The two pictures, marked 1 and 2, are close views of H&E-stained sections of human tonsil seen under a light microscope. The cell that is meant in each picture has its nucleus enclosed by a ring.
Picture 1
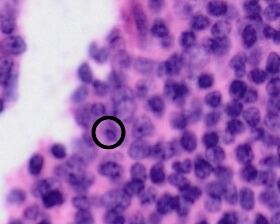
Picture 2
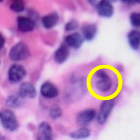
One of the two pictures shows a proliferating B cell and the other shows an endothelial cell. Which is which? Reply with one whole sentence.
Picture 1 shows a proliferating B cell and picture 2 shows an endothelial cell.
